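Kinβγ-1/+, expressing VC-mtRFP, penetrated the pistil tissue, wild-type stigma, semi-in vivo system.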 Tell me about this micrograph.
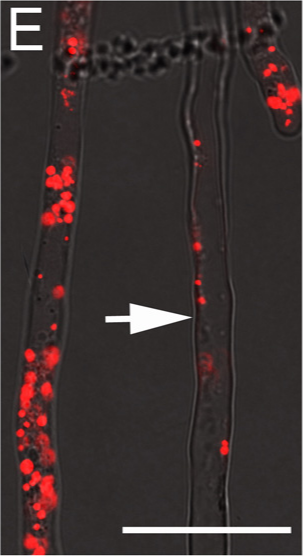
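Several pollen tubes run lengthwise through the field, seen as long, narrow tubes with smooth parallel walls in a merged transmitted-light and red fluorescence image. The tube on the left is densely filled with bright red puncta of varied size. The narrow tube in the middle holds only sparse, small red dots scattered along its length. At the upper right a tube end is packed with clustered red puncta.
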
